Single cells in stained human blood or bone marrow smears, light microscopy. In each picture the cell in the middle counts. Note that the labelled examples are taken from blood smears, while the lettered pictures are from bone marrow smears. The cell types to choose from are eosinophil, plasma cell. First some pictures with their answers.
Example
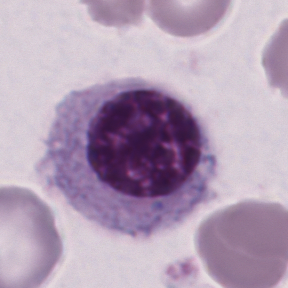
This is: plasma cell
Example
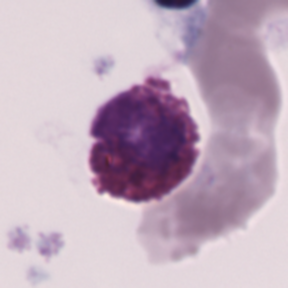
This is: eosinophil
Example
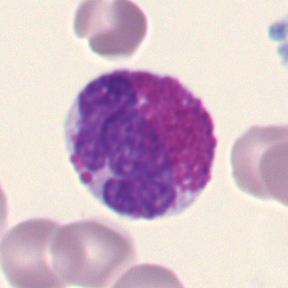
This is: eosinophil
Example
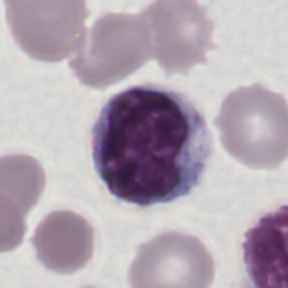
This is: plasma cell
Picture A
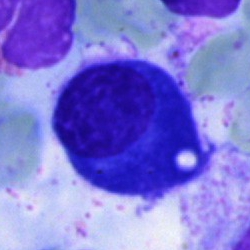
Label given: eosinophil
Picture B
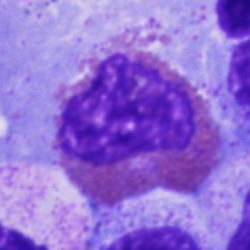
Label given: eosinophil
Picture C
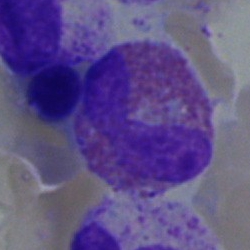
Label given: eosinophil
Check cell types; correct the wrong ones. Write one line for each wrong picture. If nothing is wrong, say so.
A should be plasma cell, not eosinophil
